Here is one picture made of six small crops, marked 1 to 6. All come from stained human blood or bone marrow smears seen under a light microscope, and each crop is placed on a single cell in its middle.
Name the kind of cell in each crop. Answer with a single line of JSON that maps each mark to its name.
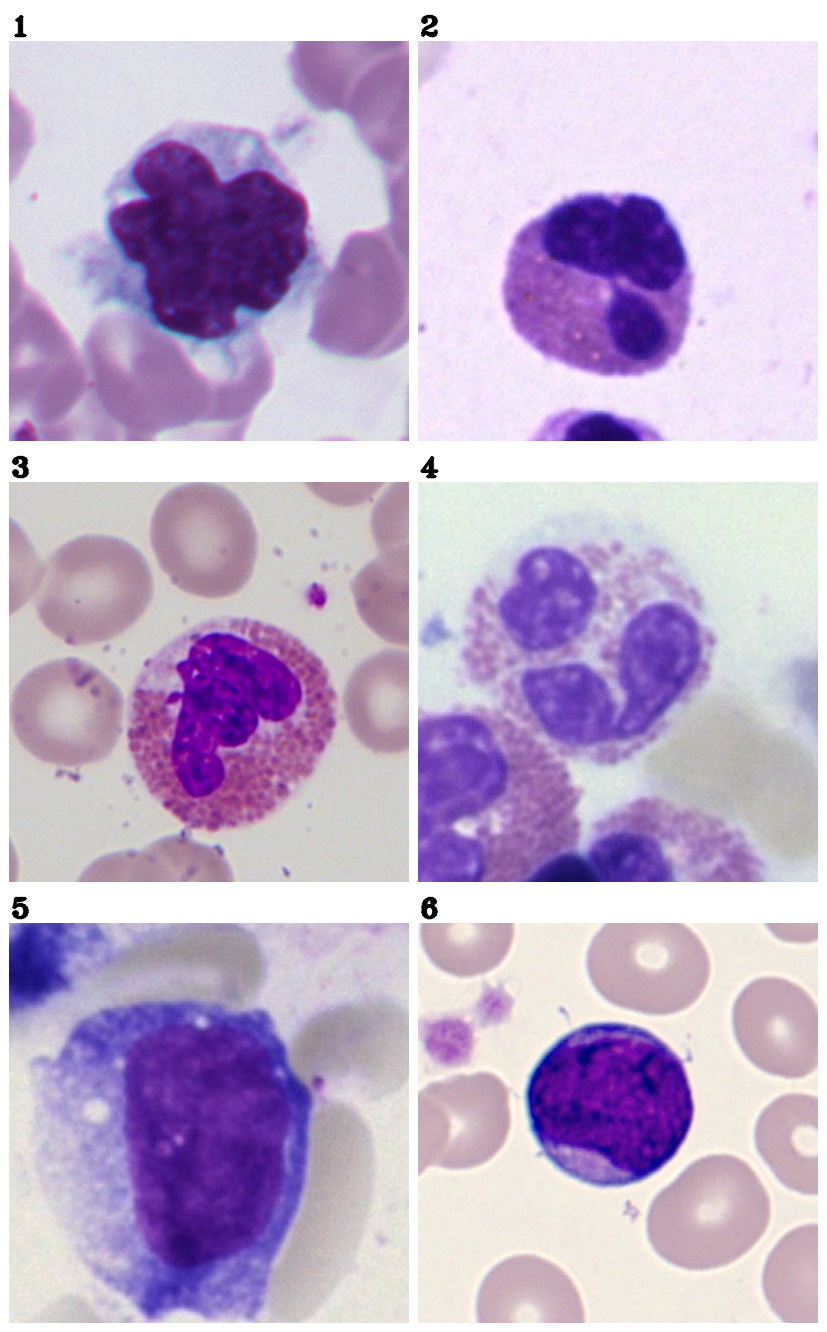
{"1": "monocyte", "2": "eosinophil", "3": "eosinophil", "4": "eosinophil", "5": "blast", "6": "blast"}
